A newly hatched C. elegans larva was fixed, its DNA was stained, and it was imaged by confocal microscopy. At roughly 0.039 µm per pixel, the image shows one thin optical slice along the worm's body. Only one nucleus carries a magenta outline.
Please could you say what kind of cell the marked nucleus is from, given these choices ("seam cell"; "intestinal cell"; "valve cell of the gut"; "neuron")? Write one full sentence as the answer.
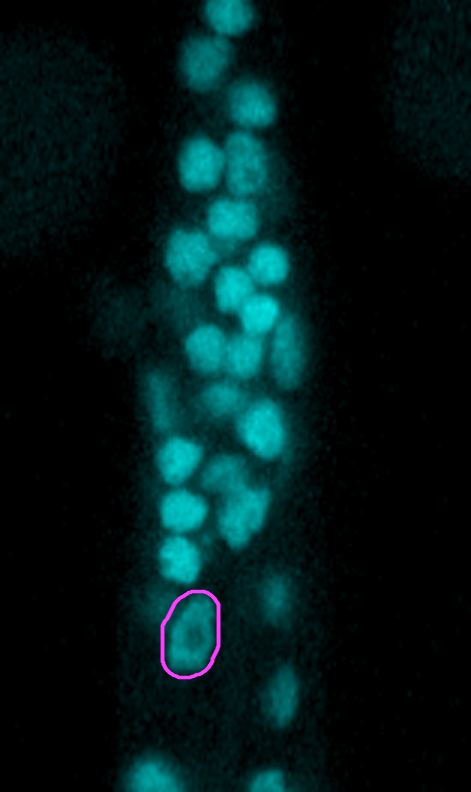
The marked cell is an intestinal cell.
